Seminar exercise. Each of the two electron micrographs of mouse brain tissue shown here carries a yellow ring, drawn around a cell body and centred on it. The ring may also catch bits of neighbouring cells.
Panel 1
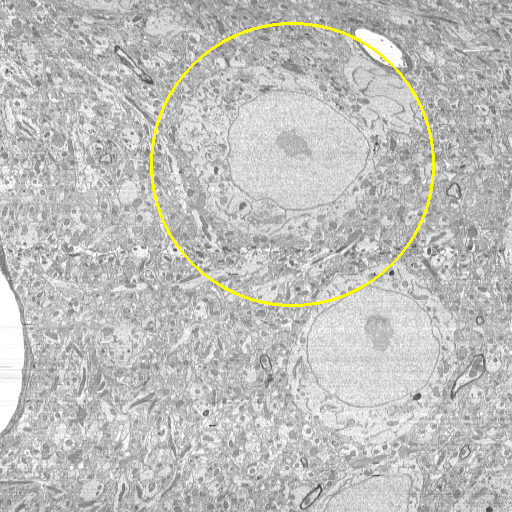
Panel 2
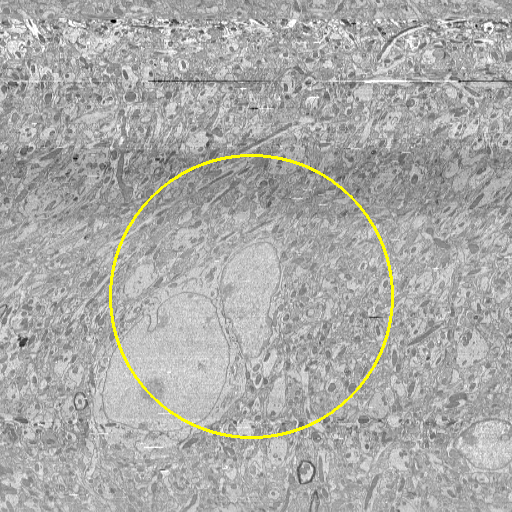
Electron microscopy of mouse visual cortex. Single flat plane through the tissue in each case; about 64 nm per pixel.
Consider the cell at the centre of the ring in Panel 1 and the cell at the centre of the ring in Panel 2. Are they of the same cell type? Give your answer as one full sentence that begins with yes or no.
No, the two cells are of two types.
